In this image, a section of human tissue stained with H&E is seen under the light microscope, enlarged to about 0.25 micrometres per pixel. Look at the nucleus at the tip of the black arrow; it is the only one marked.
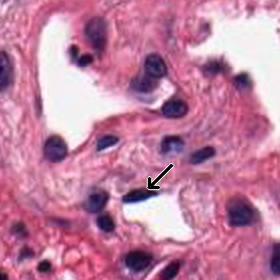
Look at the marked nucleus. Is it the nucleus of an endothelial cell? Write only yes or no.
yes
